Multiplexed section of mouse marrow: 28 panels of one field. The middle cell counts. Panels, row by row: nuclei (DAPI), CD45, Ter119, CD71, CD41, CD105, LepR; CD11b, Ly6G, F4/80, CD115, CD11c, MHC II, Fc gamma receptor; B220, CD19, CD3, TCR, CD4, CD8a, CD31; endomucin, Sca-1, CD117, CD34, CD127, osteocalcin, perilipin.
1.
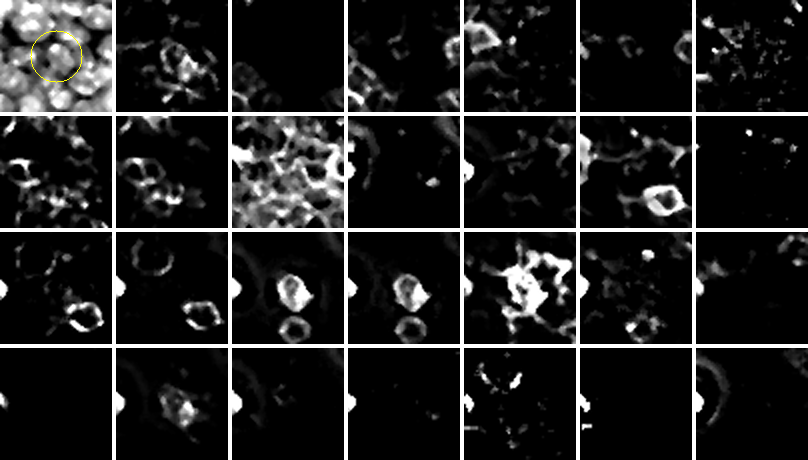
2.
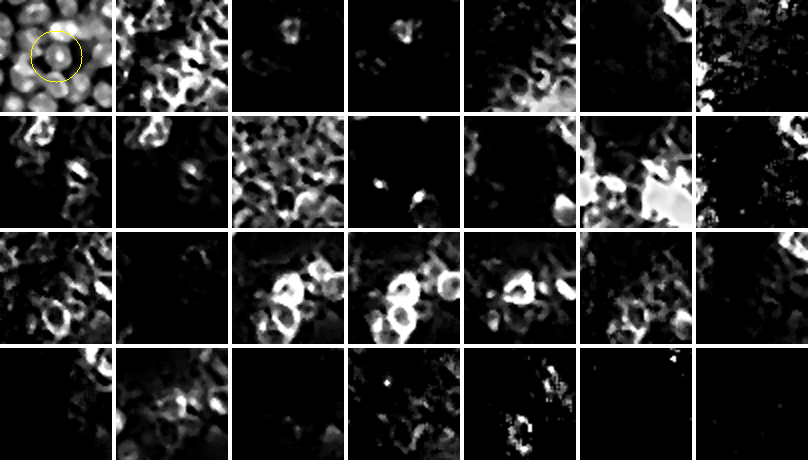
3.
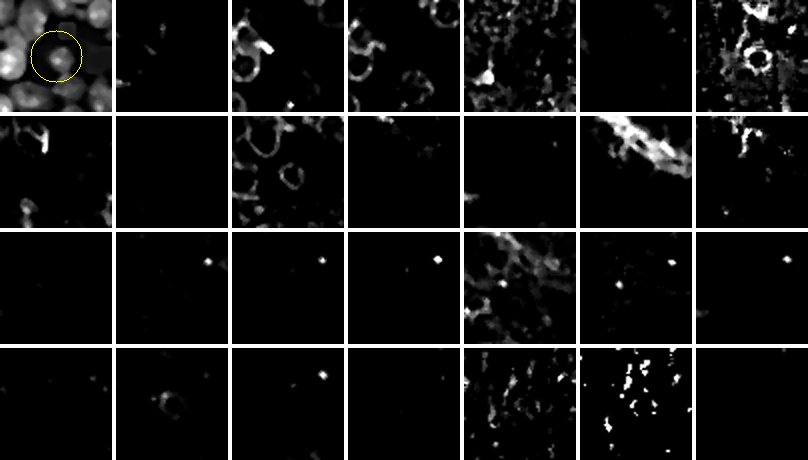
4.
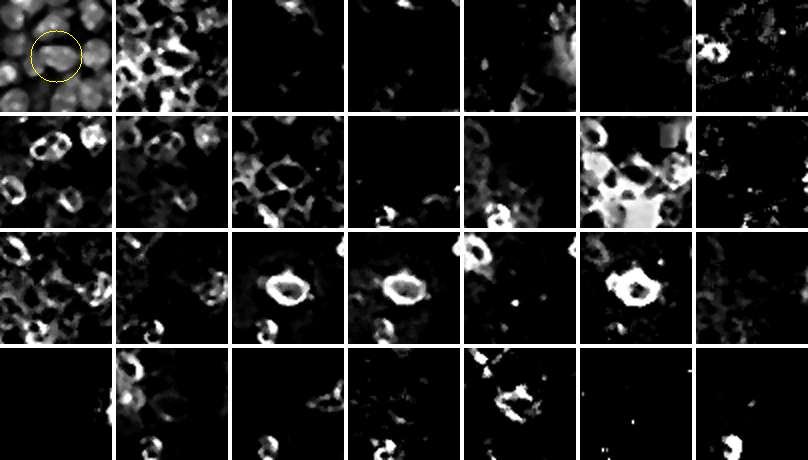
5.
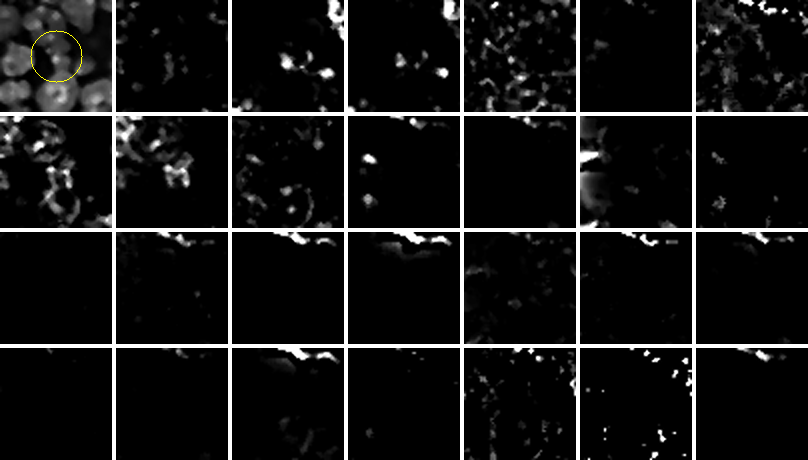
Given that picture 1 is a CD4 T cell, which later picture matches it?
2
